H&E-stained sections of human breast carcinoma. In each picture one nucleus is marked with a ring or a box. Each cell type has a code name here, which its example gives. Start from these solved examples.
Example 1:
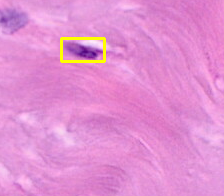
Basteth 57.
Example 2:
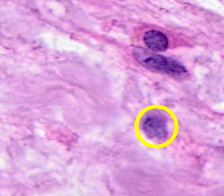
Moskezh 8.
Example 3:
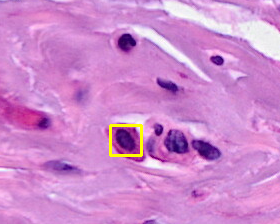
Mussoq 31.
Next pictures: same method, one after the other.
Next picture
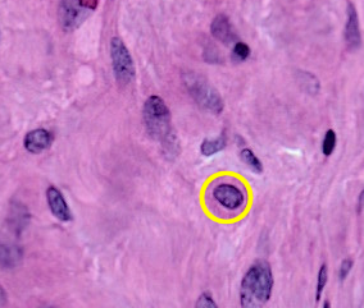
Mussoq 31.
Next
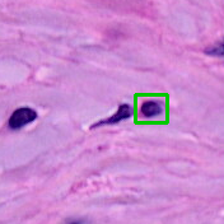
Mussoq 31.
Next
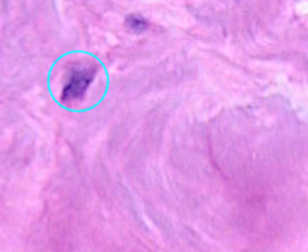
Basteth 57.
